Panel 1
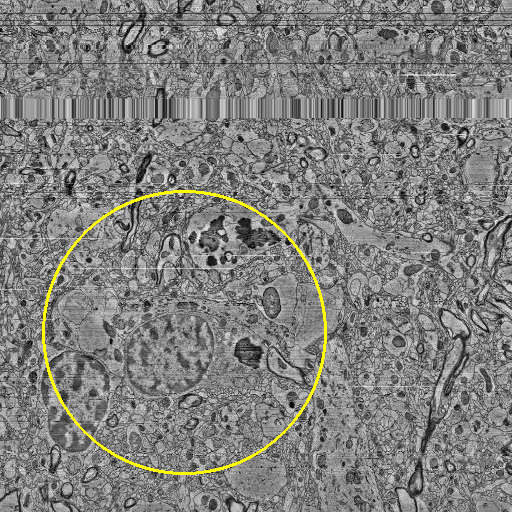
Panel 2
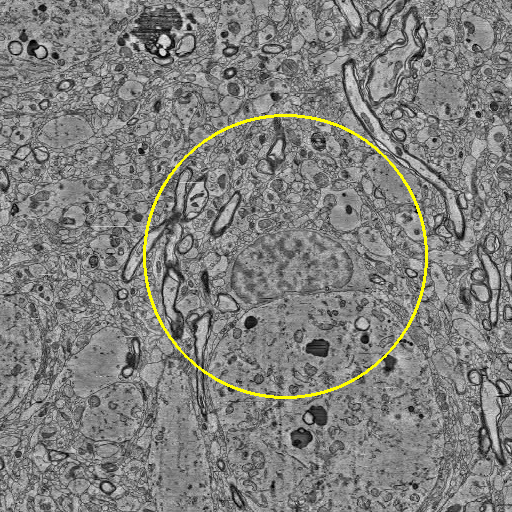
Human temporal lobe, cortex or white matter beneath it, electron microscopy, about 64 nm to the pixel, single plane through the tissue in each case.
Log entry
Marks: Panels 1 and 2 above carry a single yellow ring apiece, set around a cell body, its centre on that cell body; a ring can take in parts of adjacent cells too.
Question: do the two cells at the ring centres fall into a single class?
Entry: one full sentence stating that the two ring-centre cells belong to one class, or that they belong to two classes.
The two ring-centre cells in Panels 1 and 2 belong to one class.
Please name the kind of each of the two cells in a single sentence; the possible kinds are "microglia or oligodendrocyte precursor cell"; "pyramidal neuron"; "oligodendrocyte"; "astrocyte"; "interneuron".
The ring centre holds an oligodendrocyte in each of the two pictures.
